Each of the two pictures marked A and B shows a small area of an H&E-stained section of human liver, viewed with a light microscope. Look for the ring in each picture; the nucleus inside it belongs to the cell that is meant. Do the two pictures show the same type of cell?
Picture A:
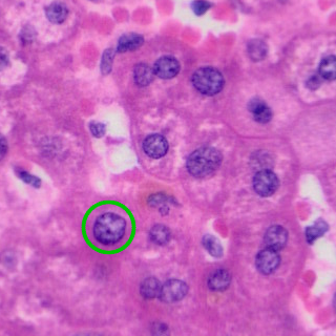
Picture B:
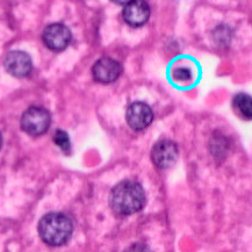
no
